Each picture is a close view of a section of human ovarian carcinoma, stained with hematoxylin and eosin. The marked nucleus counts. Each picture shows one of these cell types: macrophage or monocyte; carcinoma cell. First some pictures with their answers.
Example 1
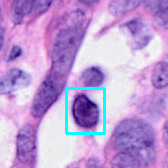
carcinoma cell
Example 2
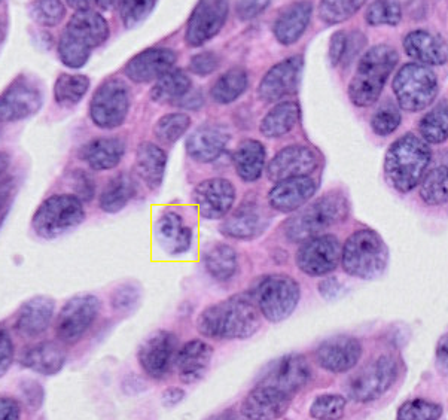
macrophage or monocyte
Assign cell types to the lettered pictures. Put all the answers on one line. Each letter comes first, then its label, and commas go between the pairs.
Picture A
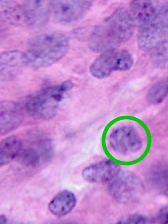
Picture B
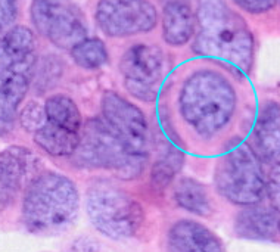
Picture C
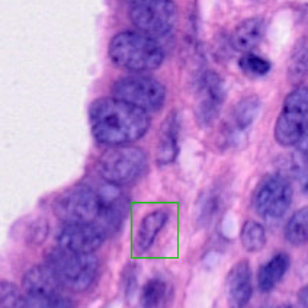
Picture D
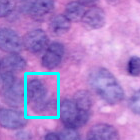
A macrophage or monocyte, B carcinoma cell, C macrophage or monocyte, D carcinoma cell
